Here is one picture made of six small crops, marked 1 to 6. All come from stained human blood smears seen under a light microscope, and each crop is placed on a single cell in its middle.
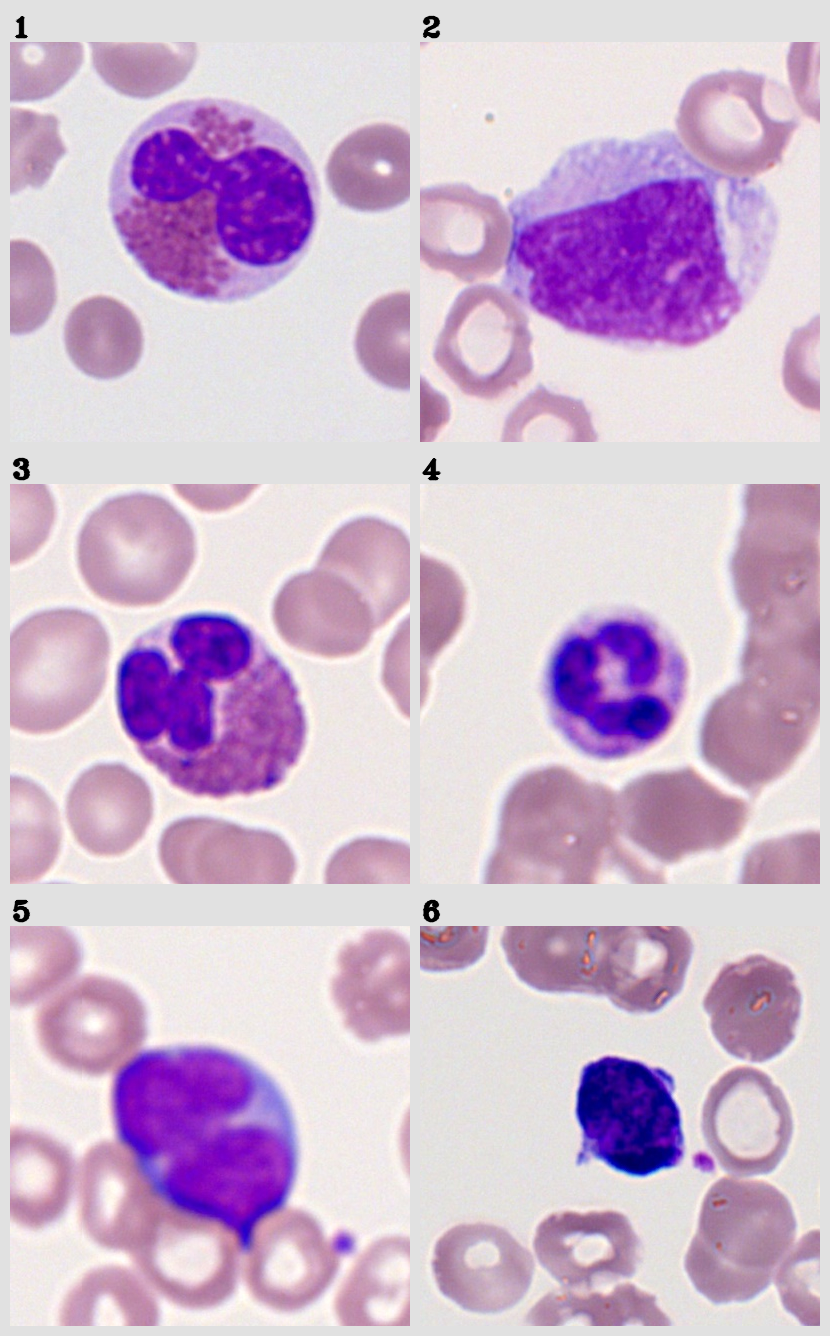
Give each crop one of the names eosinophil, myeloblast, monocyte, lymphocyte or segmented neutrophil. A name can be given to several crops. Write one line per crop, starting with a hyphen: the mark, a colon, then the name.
- 1: eosinophil
- 2: monocyte
- 3: eosinophil
- 4: segmented neutrophil
- 5: myeloblast
- 6: lymphocyte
